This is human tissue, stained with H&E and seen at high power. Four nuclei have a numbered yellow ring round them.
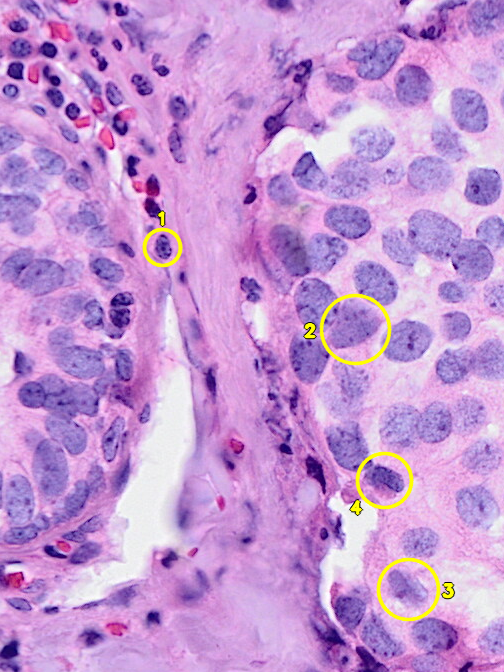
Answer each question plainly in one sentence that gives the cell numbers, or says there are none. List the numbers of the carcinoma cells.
As for the cells numbered 2, 3 and 4, they are carcinoma cells.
